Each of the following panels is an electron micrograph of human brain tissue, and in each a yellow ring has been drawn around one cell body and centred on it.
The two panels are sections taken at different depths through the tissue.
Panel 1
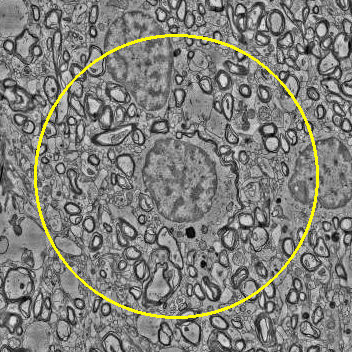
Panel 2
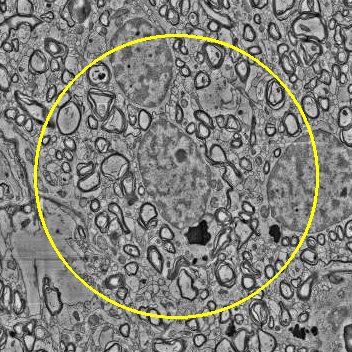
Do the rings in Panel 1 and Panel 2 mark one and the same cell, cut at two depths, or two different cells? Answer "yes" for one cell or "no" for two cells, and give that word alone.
yes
